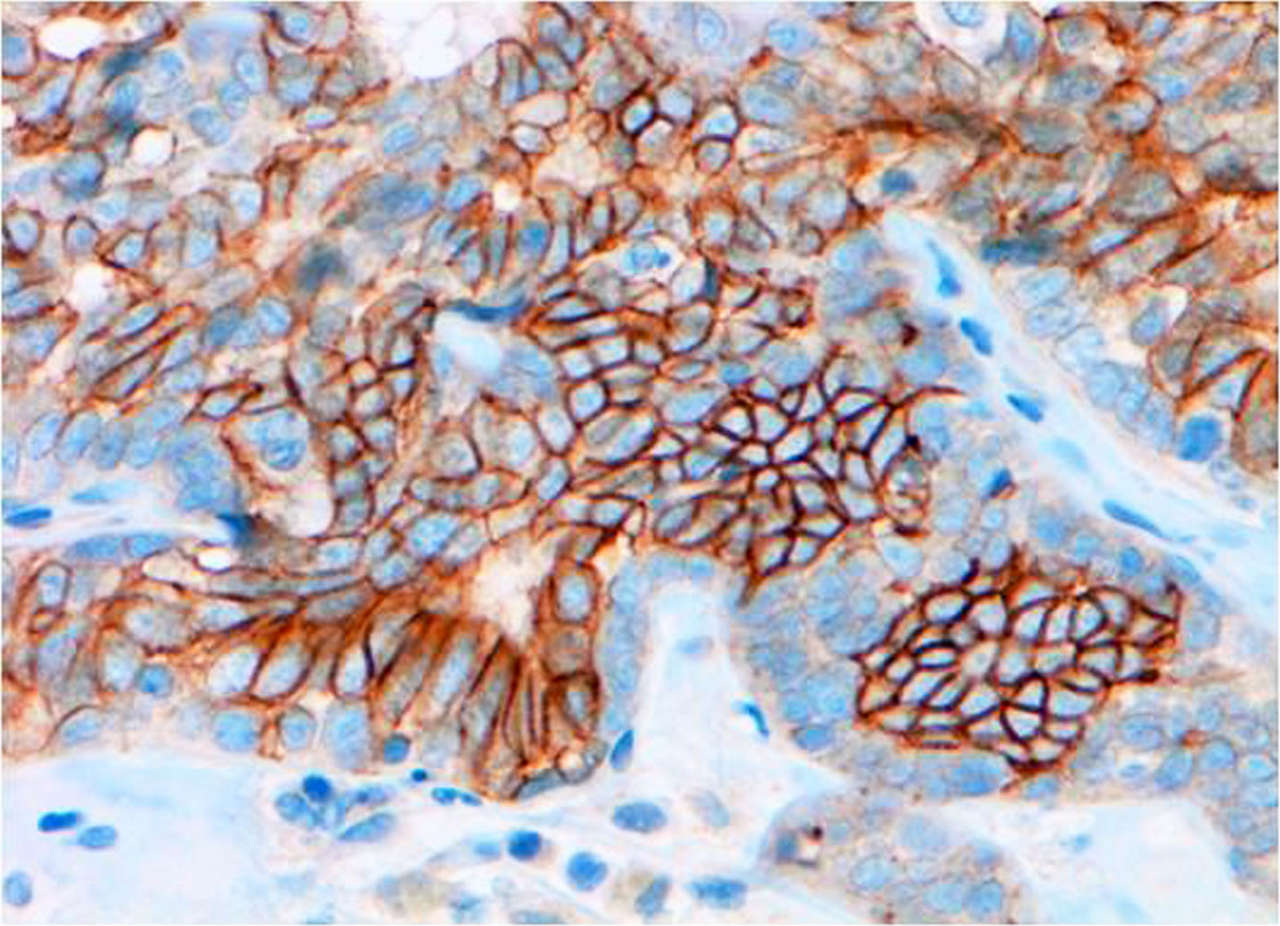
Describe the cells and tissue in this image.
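Sheets and nests of crowded epithelial tumour cells are separated by thin strands of pale blue stroma that hold a few small, dark, elongated nuclei. The tumour cells have oval, pale blue nuclei with fine chromatin and scant cytoplasm. Many of them are outlined by a sharp brown line that runs all the way around each cell. Together these outlines give a honeycomb or chicken-wire pattern. The strength of the outlining varies: some clusters are crisply rimmed in dark brown, others show only faint or partial brown borders, and some cells are not outlined at all. A few small clear spaces lie among the cells.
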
